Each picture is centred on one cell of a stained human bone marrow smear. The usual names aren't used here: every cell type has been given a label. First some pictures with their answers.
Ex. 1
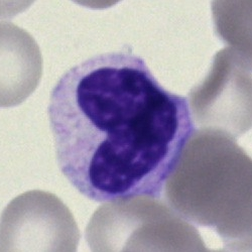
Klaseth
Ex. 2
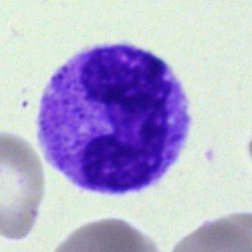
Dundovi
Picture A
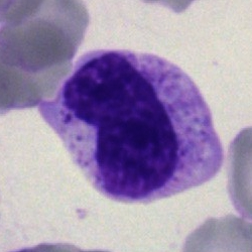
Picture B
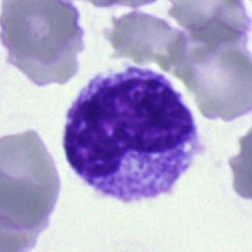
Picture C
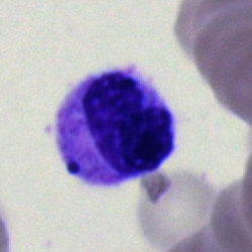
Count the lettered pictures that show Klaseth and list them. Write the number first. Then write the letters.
Count: 3 (A, B, C)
